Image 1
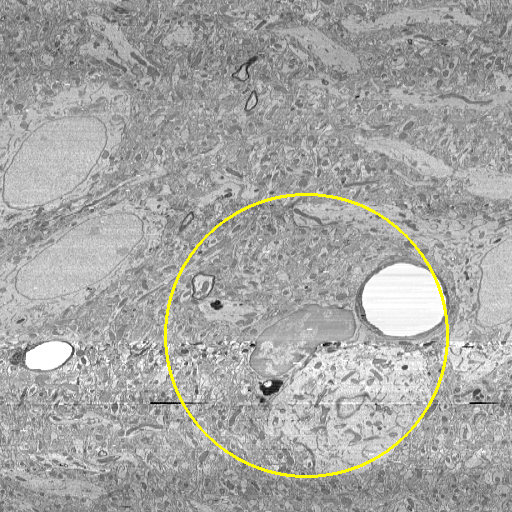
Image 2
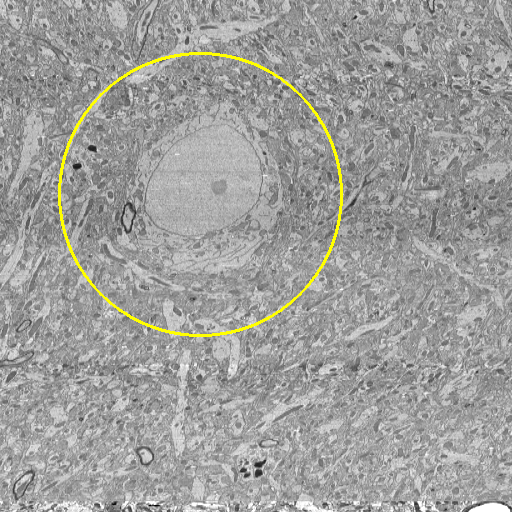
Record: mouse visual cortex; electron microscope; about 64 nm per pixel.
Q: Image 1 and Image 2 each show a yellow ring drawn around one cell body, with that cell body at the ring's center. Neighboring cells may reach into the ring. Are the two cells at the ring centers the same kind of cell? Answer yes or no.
no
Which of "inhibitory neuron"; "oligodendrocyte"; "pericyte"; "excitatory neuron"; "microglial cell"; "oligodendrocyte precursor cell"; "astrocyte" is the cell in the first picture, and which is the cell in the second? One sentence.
The two differ: the first cell is a microglial cell and the second is an excitatory neuron.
